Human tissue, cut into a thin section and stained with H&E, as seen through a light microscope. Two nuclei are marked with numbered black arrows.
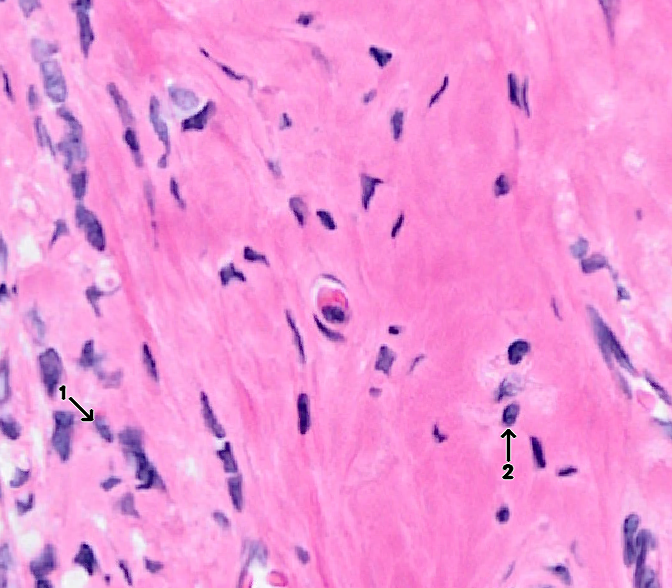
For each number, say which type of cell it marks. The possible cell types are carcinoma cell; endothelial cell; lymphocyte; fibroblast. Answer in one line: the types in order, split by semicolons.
endothelial cell; lymphocyte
